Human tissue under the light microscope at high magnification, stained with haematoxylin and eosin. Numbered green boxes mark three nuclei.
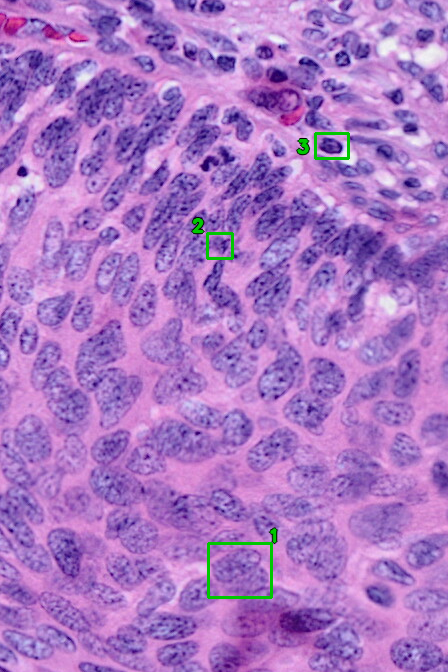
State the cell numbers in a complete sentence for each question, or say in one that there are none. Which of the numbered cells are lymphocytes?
No marked cell except number 3 is a lymphocyte.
